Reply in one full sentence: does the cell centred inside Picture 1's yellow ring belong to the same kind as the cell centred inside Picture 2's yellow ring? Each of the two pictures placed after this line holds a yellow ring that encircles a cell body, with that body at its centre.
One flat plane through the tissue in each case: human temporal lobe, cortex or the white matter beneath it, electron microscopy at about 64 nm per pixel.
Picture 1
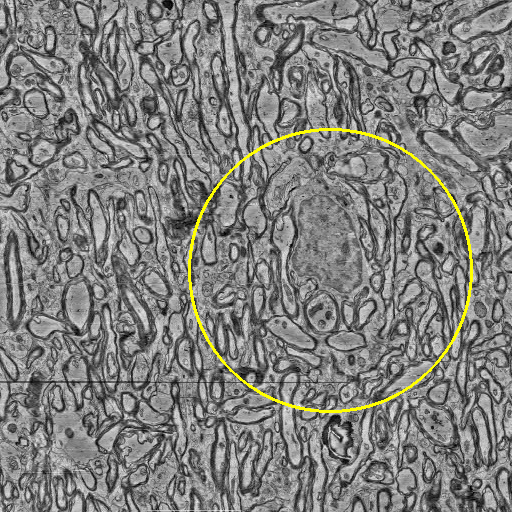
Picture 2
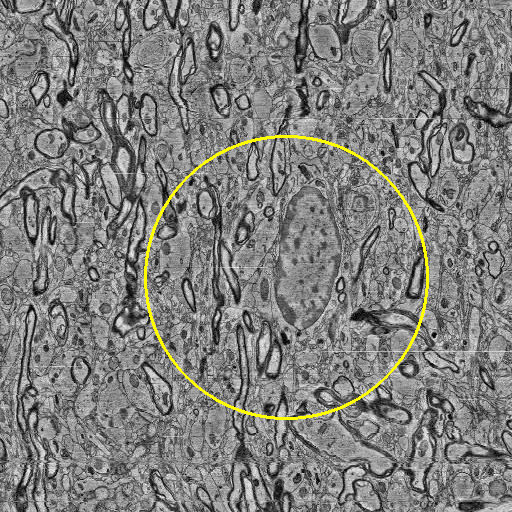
No, the ring-centred cells in Picture 1 and Picture 2 are of two separate kinds.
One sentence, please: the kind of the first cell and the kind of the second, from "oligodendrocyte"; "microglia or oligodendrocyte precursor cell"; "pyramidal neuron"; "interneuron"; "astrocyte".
The ring in the first picture surrounds an oligodendrocyte, and the ring in the second surrounds a microglial cell or oligodendrocyte precursor cell.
